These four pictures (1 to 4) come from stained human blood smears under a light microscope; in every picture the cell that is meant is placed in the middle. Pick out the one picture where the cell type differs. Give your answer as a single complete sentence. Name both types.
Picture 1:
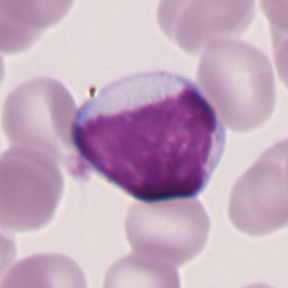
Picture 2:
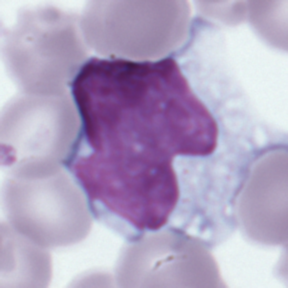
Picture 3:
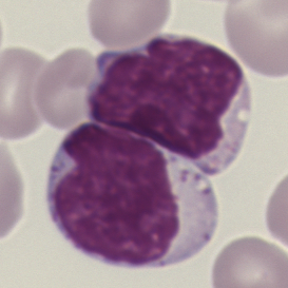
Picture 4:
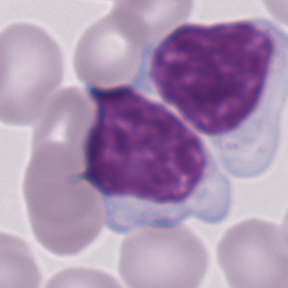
Picture 2 differs, because its cell is a monocyte and the rest are large granular lymphocytes.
